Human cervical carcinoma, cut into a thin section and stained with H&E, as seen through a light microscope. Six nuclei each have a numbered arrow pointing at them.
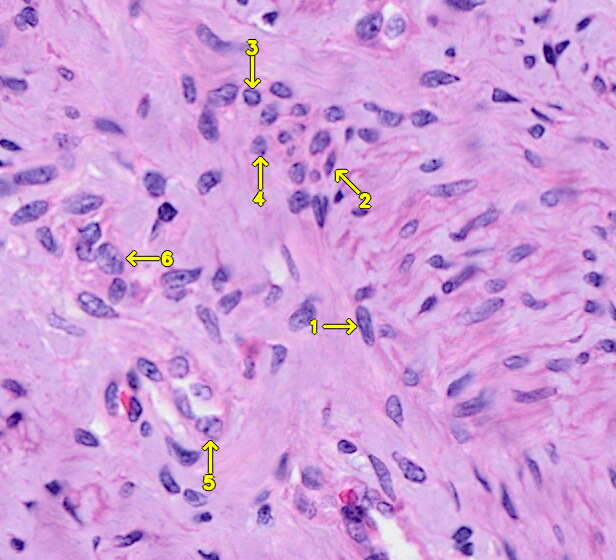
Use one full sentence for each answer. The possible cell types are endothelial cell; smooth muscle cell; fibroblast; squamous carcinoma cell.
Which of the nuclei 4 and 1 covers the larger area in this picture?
Nucleus 1 covers more area, about 1.5 times as much as nucleus 4.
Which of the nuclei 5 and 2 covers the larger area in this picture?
Nucleus 5 is the larger one, covering about 3 times the area of nucleus 2.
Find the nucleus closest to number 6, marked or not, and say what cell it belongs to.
The nearest nucleus to number 6 belongs to an endothelial cell.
